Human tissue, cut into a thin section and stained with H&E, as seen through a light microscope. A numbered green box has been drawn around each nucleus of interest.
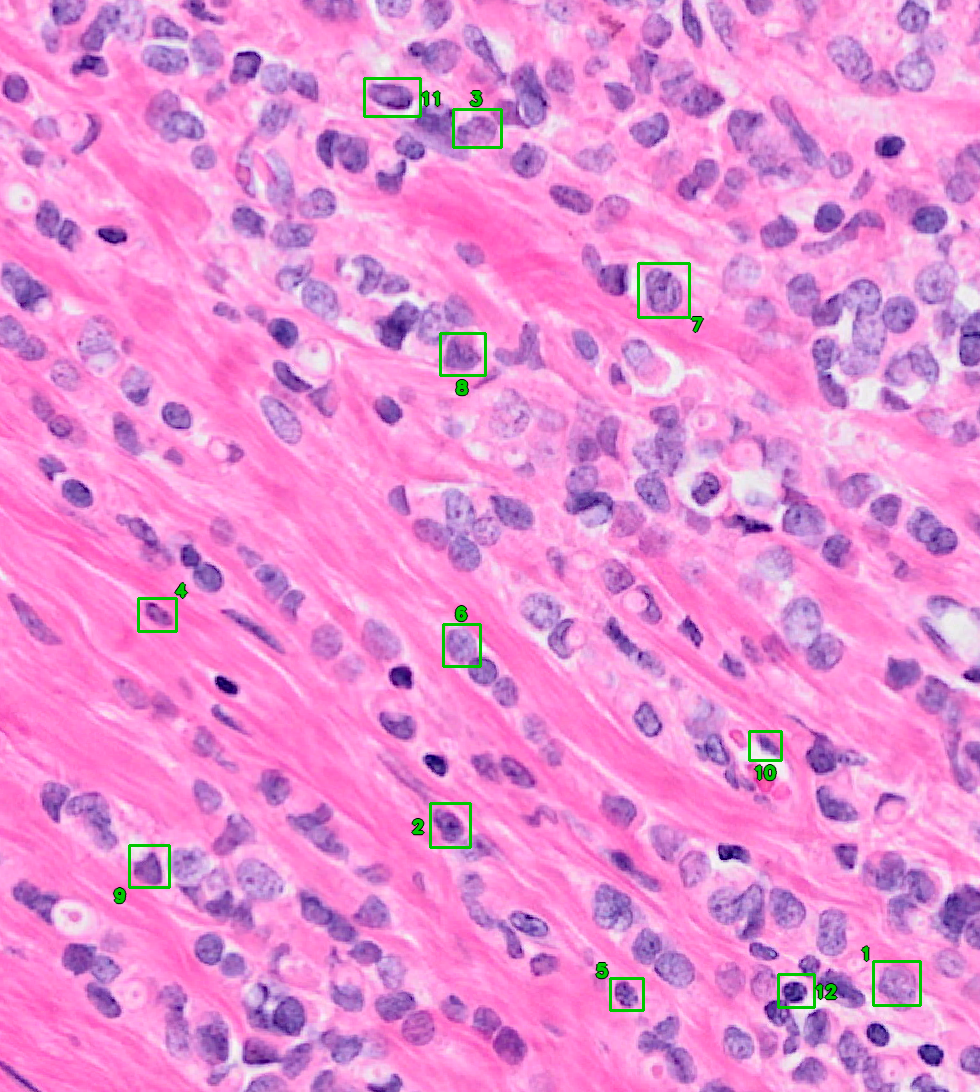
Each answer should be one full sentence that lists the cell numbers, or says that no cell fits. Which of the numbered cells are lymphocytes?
In terms of cell type, cells 2, 4, 5 and 12 are lymphocytes.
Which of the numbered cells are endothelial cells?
With the exception of cell 10, no marked cell is an endothelial cell.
